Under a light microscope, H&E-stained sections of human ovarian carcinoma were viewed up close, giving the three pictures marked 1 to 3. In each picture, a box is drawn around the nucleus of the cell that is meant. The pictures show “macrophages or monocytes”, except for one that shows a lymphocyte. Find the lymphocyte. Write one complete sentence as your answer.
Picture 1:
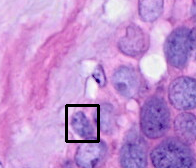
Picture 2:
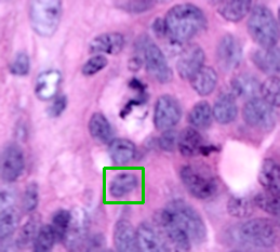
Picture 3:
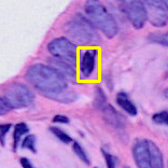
The lymphocyte is the one in picture 3.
